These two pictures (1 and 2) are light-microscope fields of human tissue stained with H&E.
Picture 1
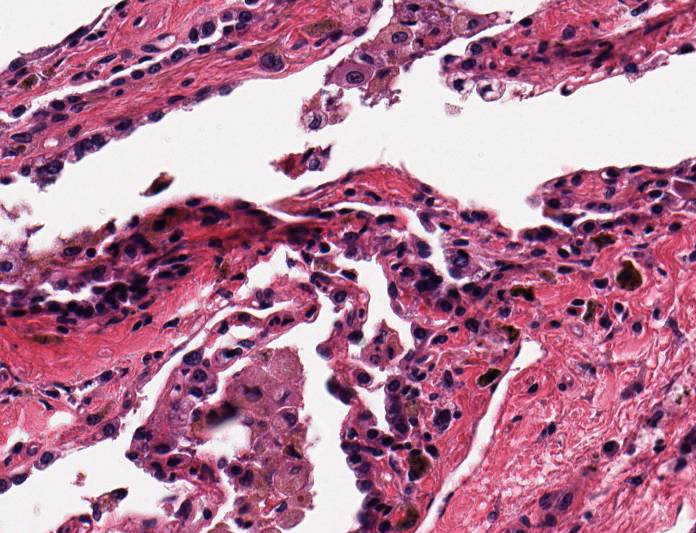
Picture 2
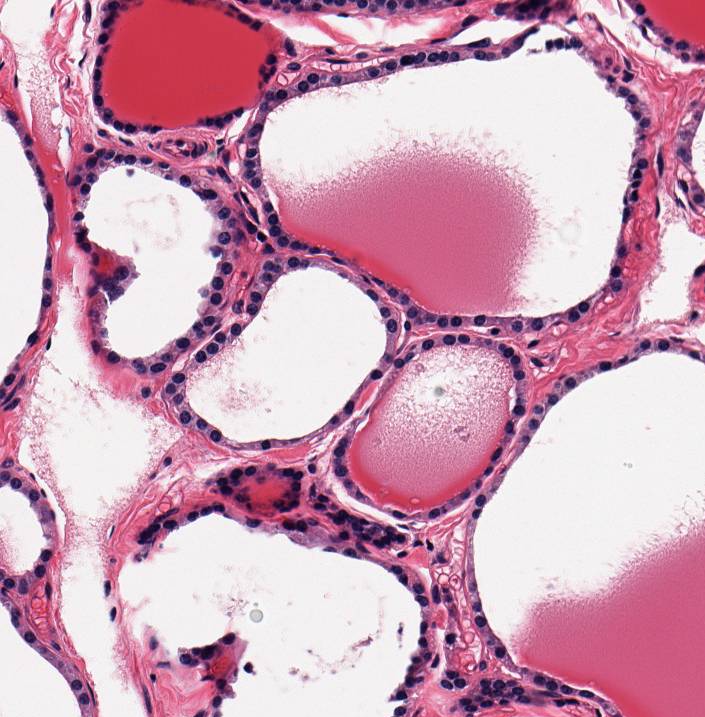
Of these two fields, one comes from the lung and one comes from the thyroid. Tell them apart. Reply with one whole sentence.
Picture 1 comes from the lung; picture 2 comes from the thyroid.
